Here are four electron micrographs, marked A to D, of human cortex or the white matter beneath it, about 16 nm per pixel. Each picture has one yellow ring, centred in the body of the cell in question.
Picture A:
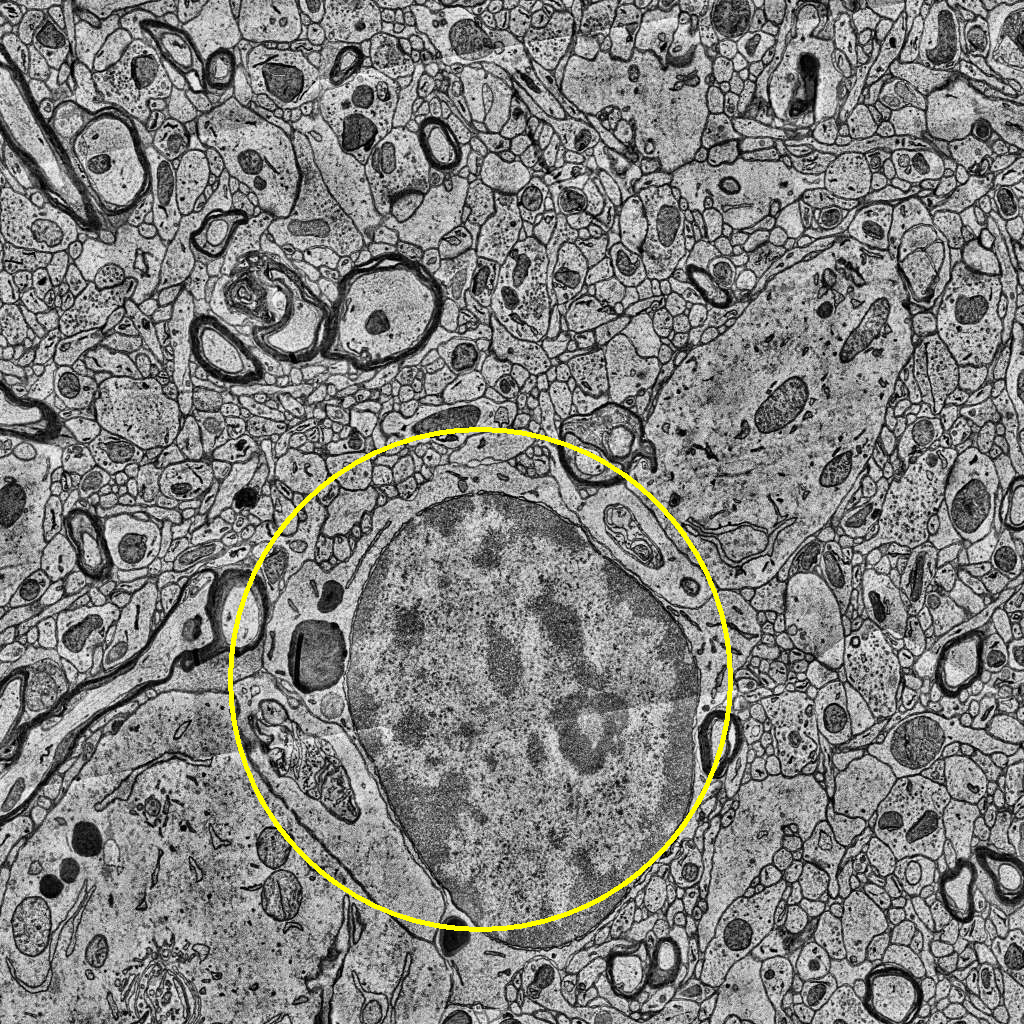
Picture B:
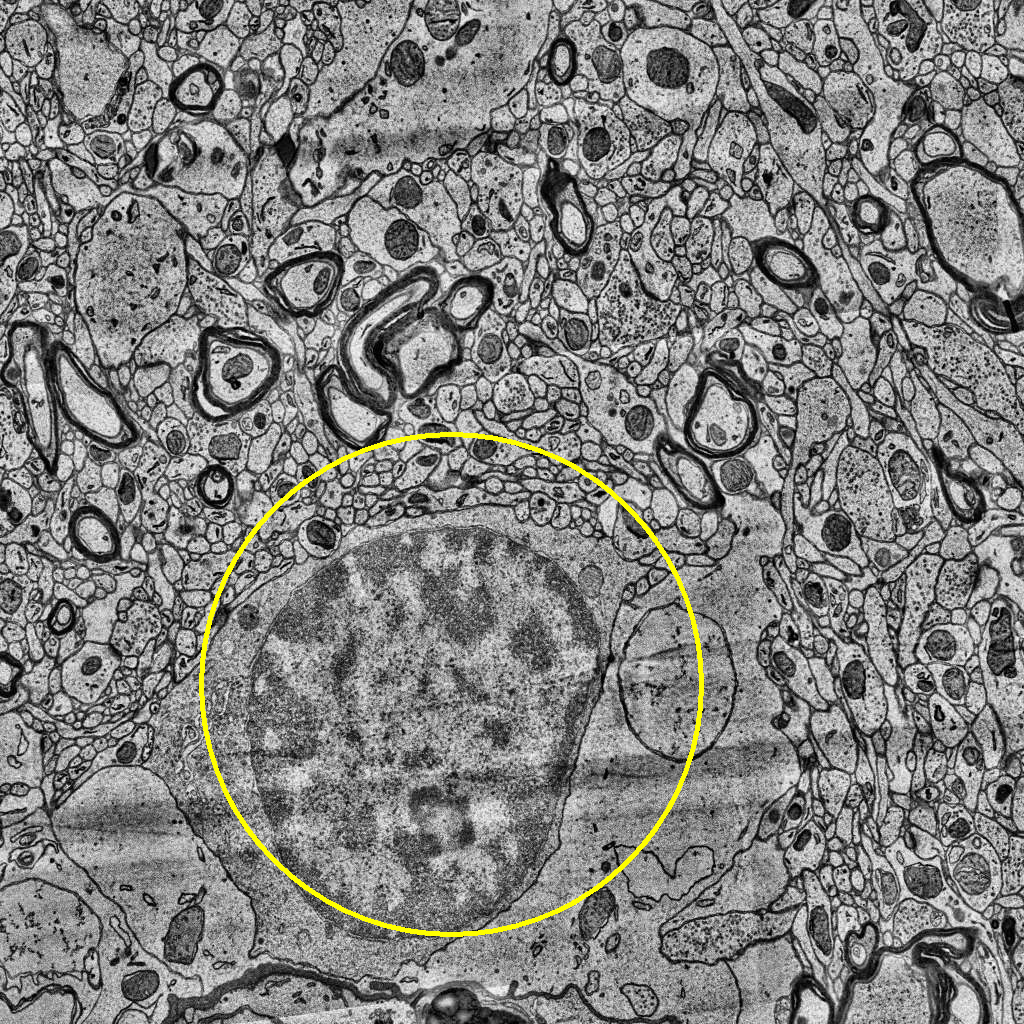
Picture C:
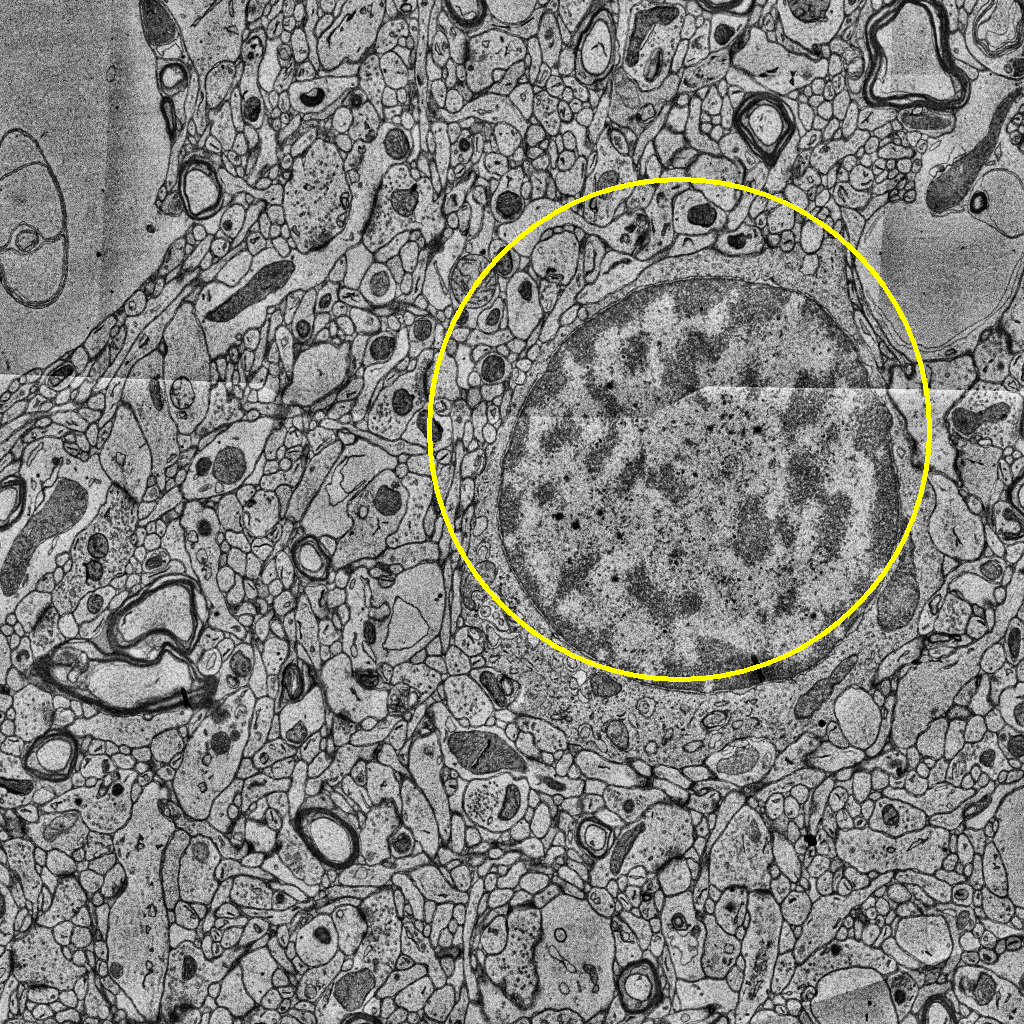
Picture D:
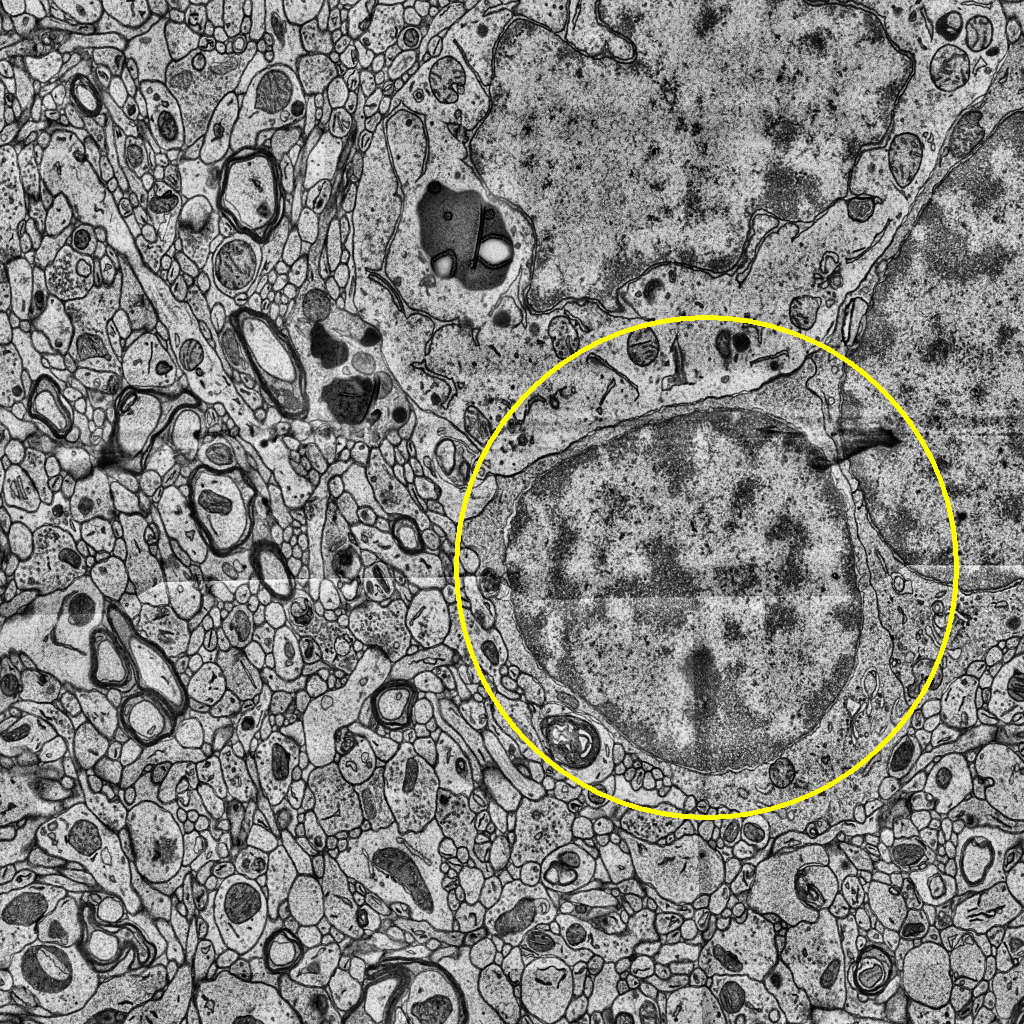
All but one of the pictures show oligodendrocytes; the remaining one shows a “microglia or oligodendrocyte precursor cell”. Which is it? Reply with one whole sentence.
It is picture A that shows the “microglia or oligodendrocyte precursor cell”.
